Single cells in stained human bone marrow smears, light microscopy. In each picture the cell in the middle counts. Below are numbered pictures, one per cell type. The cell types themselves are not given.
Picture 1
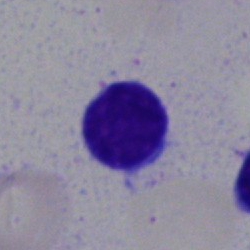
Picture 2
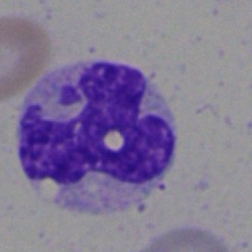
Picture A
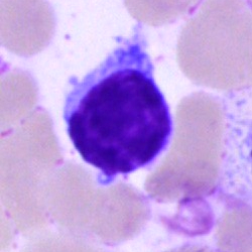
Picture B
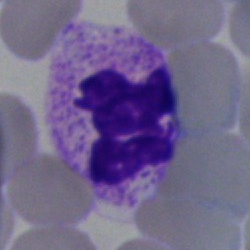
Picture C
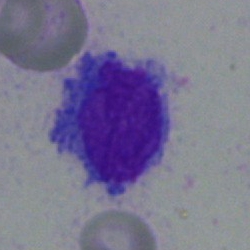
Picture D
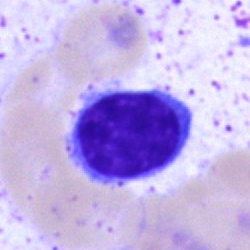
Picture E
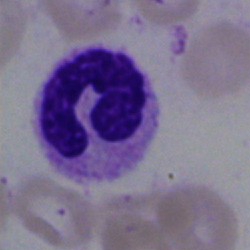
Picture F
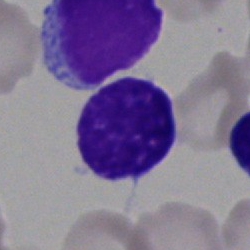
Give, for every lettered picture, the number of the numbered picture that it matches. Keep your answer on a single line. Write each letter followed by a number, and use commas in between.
A 1, B 2, C 1, D 1, E 2, F 1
